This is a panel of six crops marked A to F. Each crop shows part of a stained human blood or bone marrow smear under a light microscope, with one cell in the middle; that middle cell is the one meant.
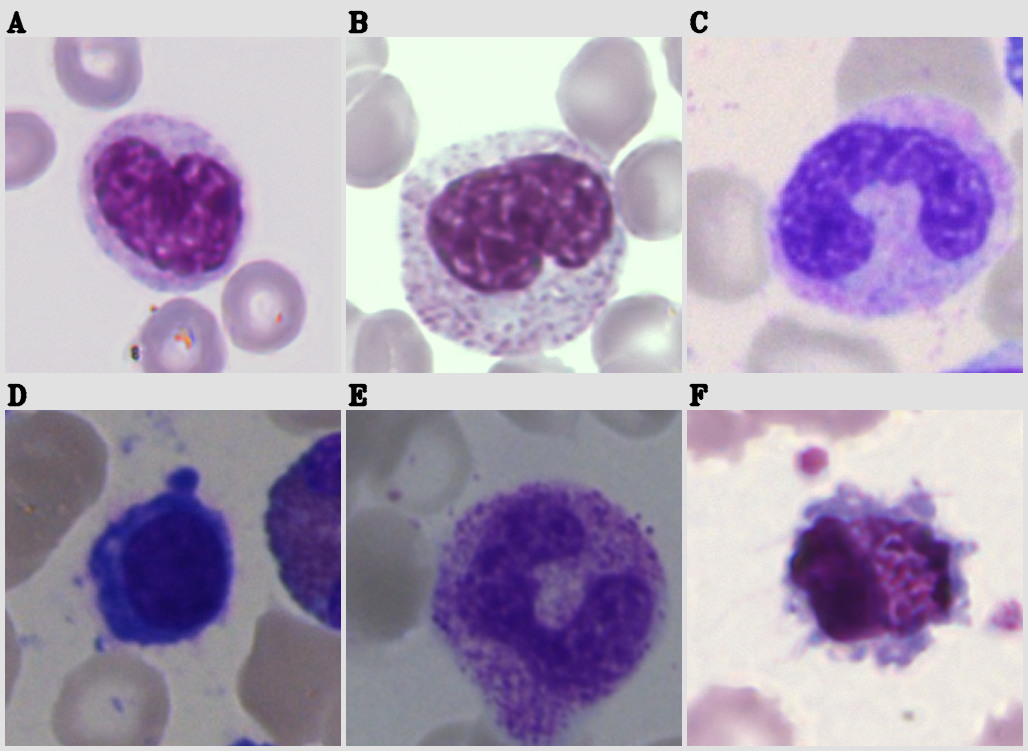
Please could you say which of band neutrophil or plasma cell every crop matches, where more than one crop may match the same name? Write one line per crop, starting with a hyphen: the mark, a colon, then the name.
- A: band neutrophil
- B: band neutrophil
- C: band neutrophil
- D: plasma cell
- E: band neutrophil
- F: plasma cell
